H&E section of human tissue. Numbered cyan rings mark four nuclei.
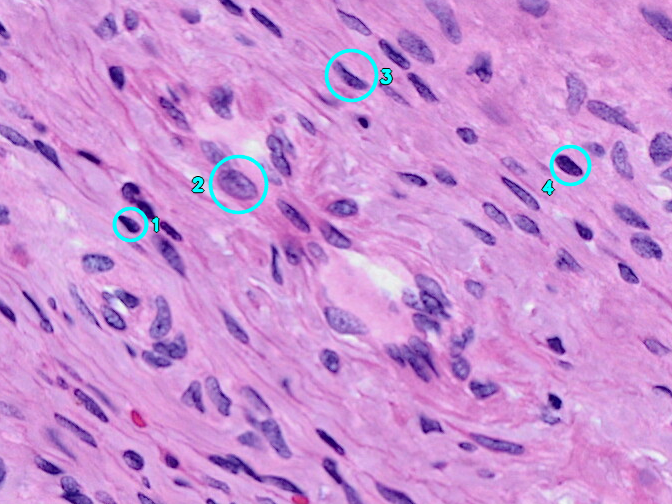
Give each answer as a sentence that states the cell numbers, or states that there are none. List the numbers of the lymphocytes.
Marked by the numbers 1 and 4 are cells that are lymphocytes.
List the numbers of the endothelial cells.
Within the set of numbered cells, only number 2 is an endothelial cell.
